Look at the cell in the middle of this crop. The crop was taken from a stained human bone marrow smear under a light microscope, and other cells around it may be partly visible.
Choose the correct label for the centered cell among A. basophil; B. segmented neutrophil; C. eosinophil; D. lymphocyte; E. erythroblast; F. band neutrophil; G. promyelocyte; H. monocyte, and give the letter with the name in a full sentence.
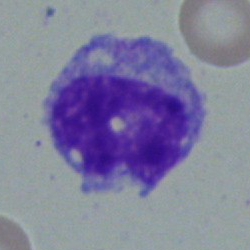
Option H holds up: the cell in the middle is a monocyte.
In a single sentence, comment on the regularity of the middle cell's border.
The cell is outlined unevenly, the border being ragged or extended into projections.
